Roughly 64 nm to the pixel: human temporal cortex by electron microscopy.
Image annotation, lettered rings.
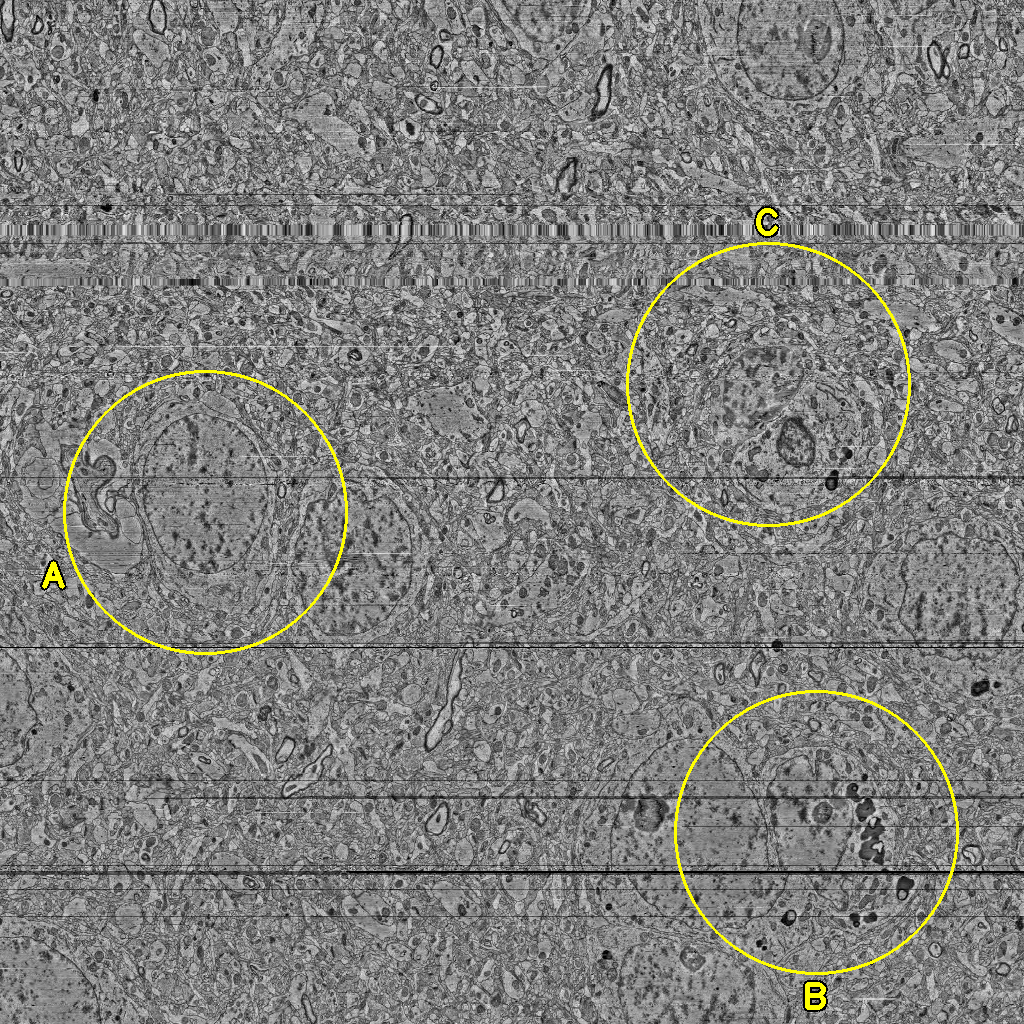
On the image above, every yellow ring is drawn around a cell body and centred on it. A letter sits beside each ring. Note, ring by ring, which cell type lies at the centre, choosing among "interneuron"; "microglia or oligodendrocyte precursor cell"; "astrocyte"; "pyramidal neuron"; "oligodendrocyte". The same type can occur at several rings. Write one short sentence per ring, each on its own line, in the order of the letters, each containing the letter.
Ring A has a pyramidal neuron at its centre.
Ring B has an interneuron at its centre.
Ring C has an oligodendrocyte at its centre.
